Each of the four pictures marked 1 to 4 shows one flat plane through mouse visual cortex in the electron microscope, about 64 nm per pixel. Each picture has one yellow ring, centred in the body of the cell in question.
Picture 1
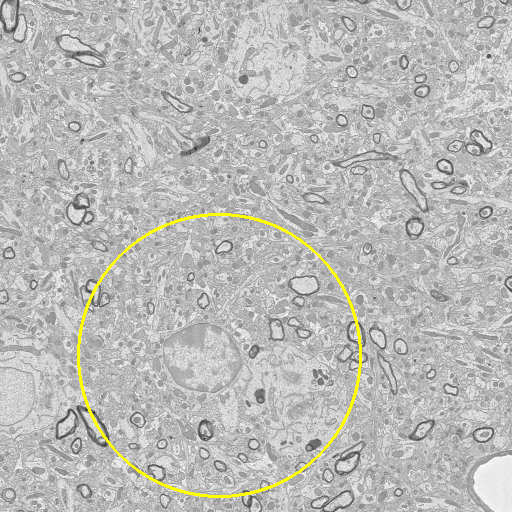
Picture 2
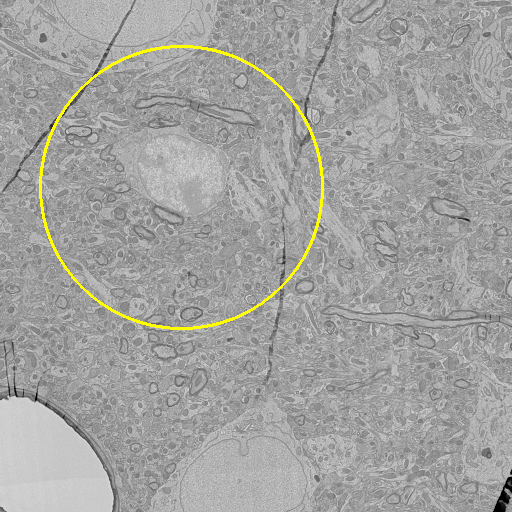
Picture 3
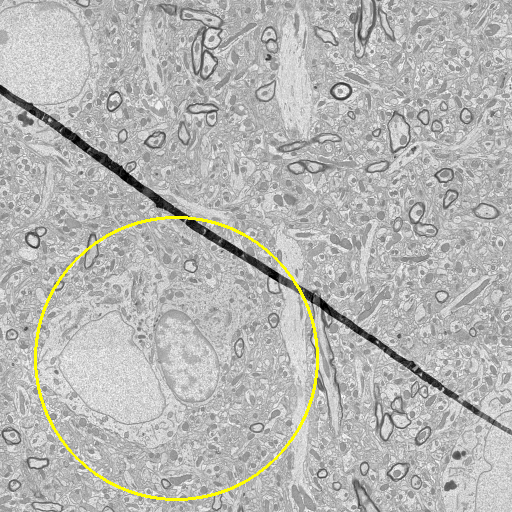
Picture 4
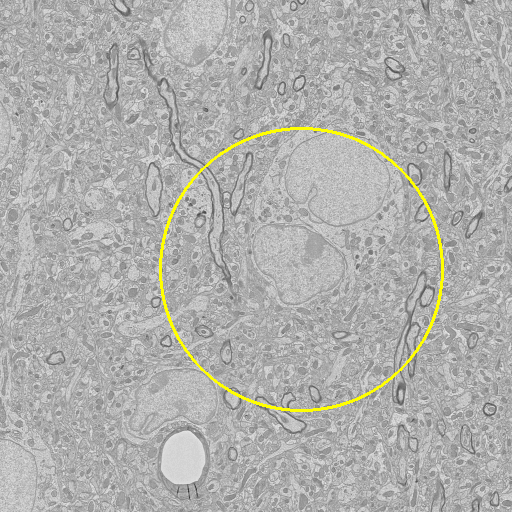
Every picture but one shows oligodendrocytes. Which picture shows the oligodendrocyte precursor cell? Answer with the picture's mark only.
4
